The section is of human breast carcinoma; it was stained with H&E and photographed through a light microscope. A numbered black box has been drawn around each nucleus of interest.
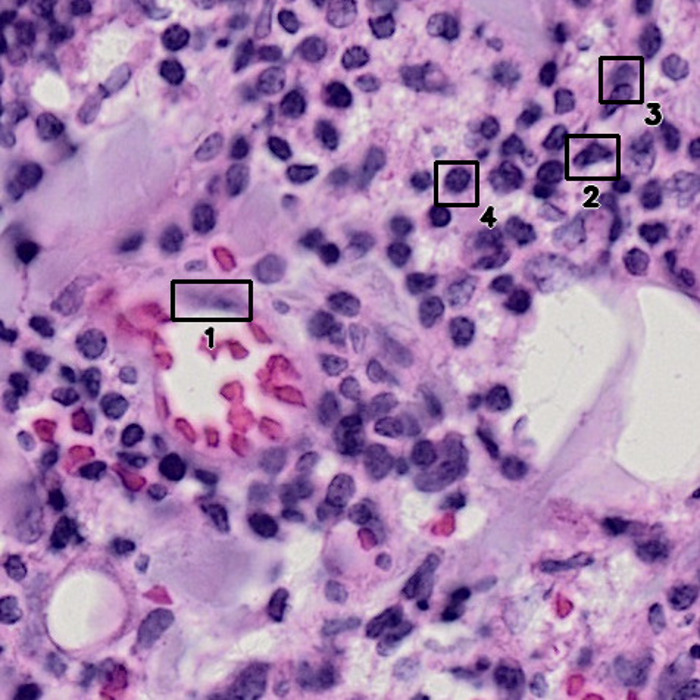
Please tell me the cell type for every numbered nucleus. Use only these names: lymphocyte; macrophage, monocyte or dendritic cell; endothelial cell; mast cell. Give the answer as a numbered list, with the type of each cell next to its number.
1. endothelial cell
2. lymphocyte
3. lymphocyte
4. lymphocyte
